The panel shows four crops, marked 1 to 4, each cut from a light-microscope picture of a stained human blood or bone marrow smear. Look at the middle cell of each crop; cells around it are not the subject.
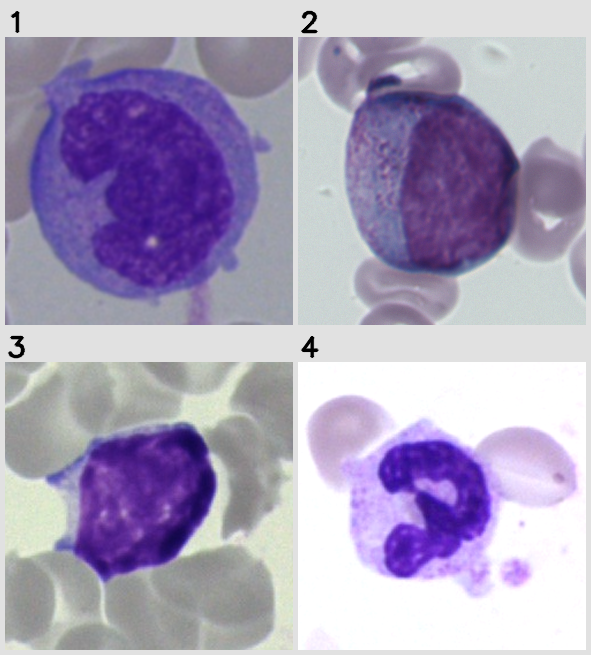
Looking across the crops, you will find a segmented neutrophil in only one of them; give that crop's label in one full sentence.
The crop that has a segmented neutrophil in the middle is crop 4.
